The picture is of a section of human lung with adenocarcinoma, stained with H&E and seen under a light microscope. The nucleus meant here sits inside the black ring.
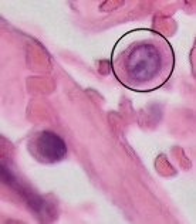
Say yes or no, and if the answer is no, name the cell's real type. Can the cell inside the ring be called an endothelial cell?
No, it is a macrophage or monocyte.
